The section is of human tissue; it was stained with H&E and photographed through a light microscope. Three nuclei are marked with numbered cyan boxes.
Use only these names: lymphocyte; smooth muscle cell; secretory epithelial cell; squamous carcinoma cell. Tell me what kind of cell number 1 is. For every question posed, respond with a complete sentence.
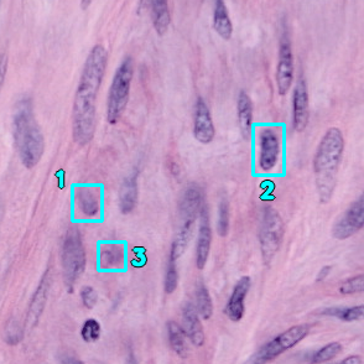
The cell with the number 1 is a smooth muscle cell.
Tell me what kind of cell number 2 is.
The cell assigned the number 2 is a lymphocyte.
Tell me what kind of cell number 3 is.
In the tissue shown, cell 3 is a smooth muscle cell.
